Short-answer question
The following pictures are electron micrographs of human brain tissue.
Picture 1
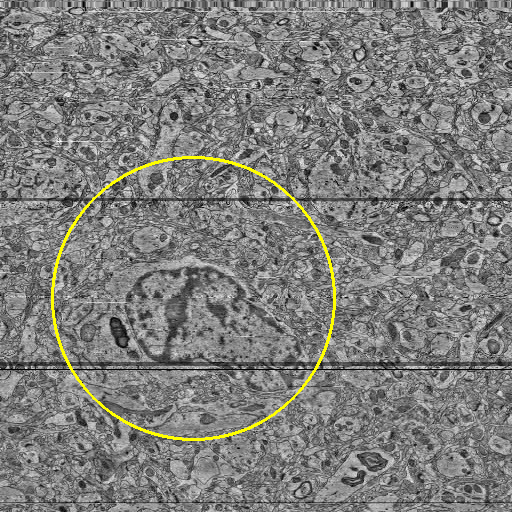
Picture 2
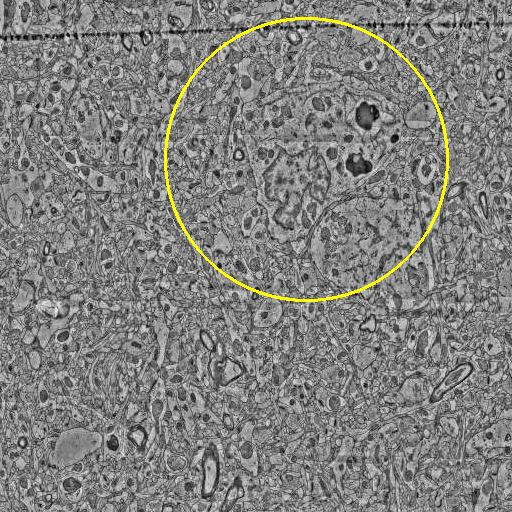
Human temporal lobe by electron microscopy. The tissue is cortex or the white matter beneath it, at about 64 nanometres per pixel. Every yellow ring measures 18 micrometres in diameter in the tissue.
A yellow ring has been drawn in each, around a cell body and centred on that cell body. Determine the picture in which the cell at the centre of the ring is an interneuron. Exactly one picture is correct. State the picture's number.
2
